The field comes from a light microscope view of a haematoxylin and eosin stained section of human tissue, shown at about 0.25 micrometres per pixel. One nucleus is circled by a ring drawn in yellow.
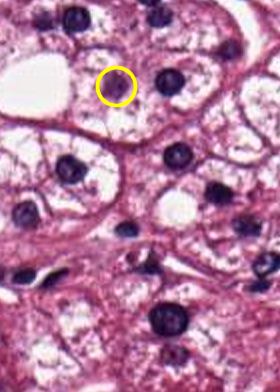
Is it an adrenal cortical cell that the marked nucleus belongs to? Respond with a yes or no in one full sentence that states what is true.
Yes, the nucleus that is marked belongs to an adrenal cortical cell.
